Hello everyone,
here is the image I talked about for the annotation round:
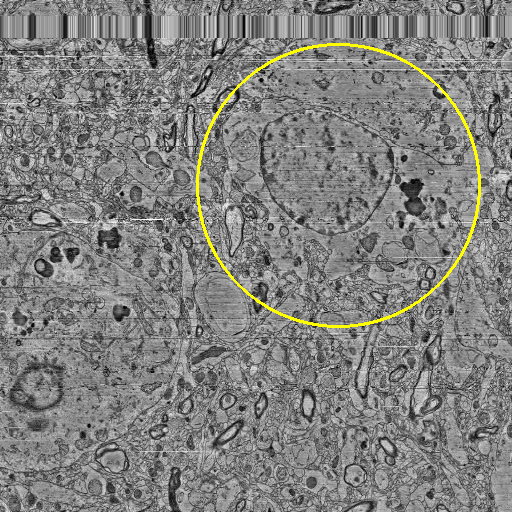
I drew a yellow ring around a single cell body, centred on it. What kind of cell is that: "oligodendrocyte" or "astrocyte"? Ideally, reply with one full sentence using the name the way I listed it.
The cell your yellow ring is centred on is an astrocyte, going by your list.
